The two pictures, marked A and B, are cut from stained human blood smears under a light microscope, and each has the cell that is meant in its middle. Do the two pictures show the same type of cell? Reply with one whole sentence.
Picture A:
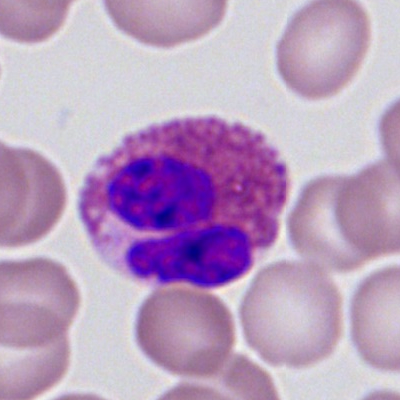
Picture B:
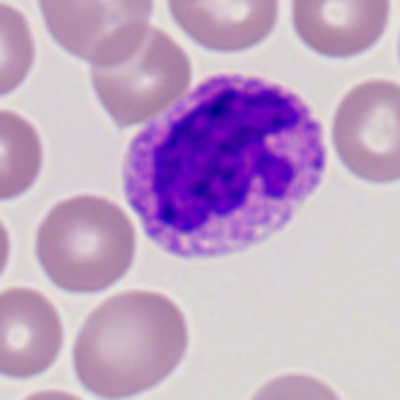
No, the types are not the same, since picture A shows an eosinophil and picture B a basophil.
